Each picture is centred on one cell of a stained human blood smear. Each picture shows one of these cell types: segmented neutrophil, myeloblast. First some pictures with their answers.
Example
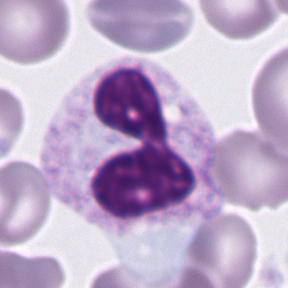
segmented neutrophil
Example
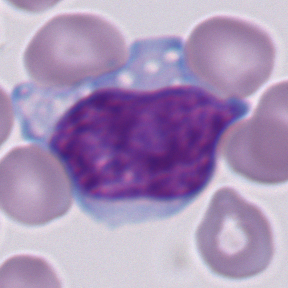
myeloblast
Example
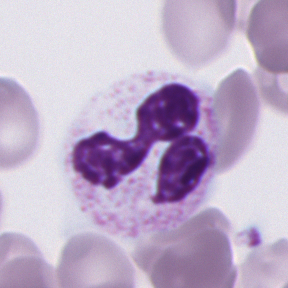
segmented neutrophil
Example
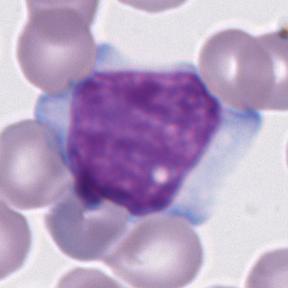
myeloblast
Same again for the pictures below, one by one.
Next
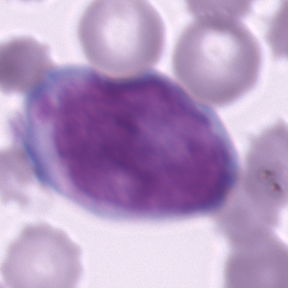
myeloblast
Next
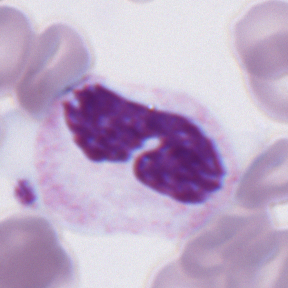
segmented neutrophil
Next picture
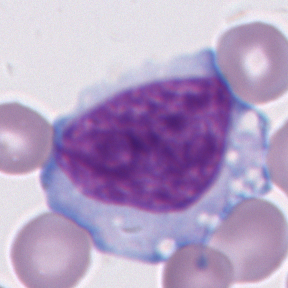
myeloblast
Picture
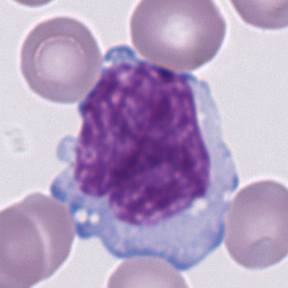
myeloblast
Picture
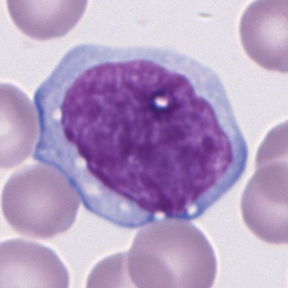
myeloblast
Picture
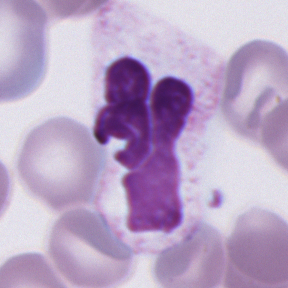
segmented neutrophil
